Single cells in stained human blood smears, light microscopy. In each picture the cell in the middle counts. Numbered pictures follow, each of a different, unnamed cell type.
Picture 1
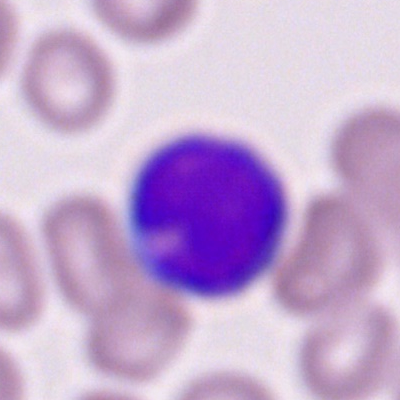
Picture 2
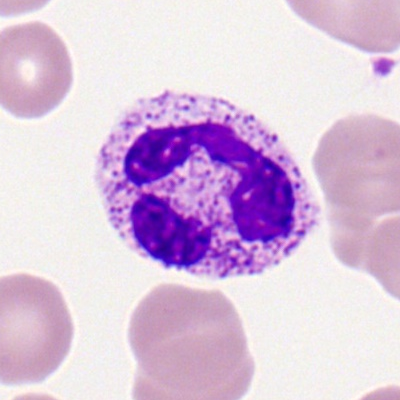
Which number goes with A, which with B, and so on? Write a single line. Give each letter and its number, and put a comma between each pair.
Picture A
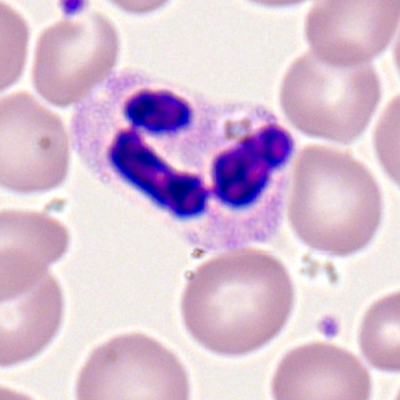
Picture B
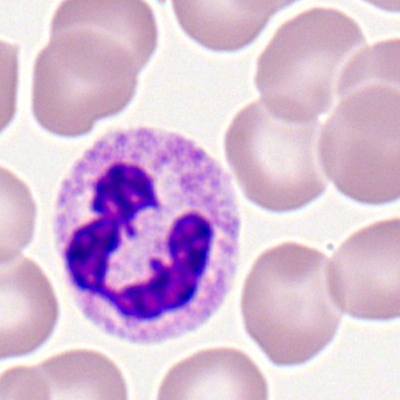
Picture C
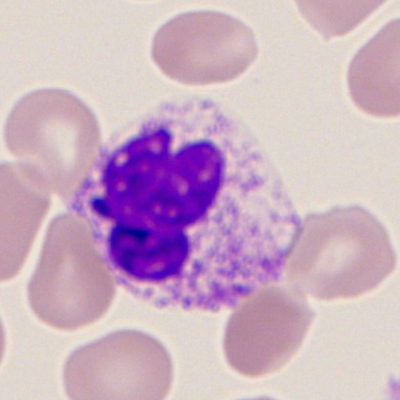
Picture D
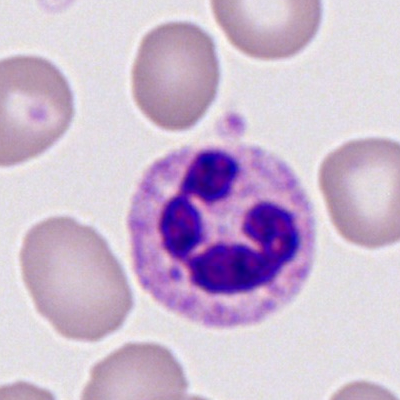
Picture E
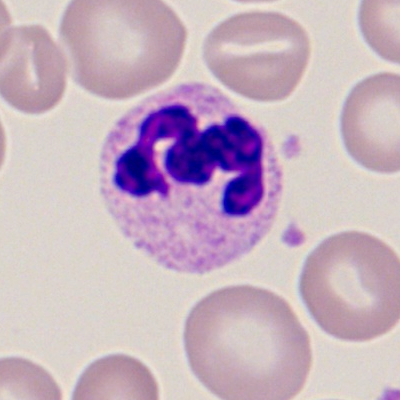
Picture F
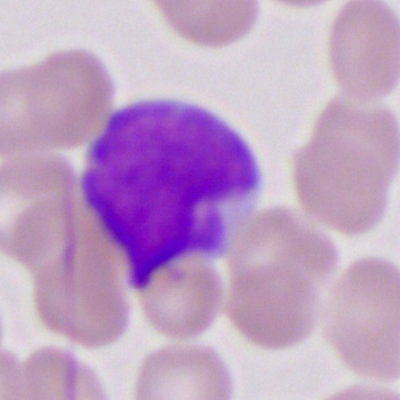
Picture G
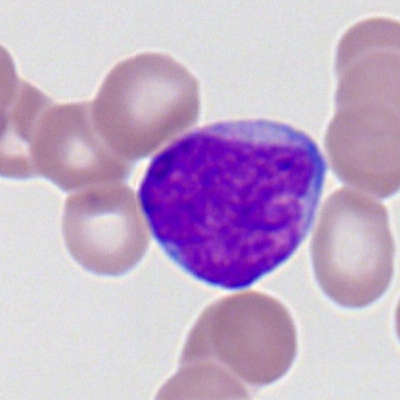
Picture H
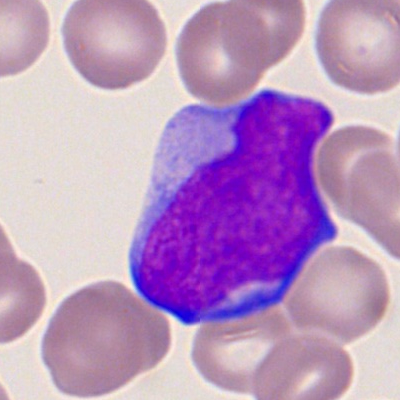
A 2, B 2, C 2, D 2, E 2, F 1, G 1, H 1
